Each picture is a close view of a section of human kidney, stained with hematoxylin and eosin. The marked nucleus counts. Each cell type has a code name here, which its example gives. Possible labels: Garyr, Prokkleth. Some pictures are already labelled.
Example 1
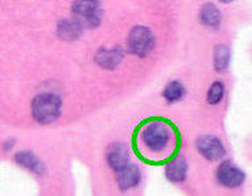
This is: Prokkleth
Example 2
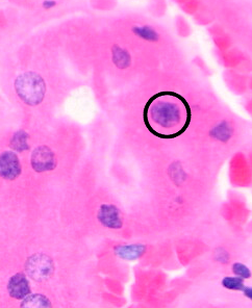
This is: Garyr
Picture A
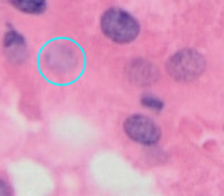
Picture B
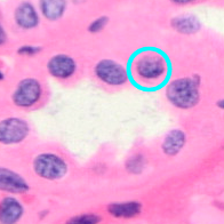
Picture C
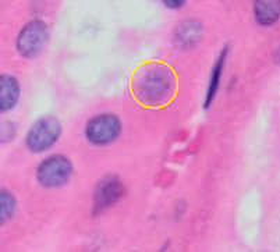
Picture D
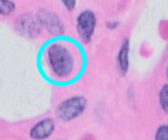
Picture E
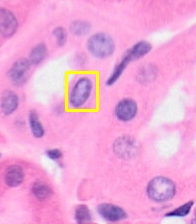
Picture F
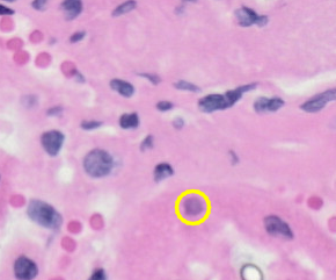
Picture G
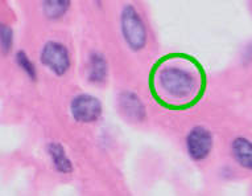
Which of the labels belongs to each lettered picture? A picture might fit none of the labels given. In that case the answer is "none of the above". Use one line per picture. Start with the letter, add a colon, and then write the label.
A: Garyr
B: none of the above
C: none of the above
D: Prokkleth
E: Prokkleth
F: Garyr
G: none of the above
